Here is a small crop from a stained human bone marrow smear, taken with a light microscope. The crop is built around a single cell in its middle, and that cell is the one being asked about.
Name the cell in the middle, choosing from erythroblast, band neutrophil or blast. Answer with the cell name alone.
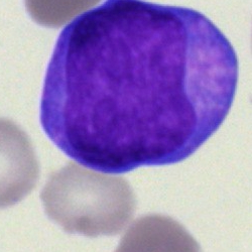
blast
